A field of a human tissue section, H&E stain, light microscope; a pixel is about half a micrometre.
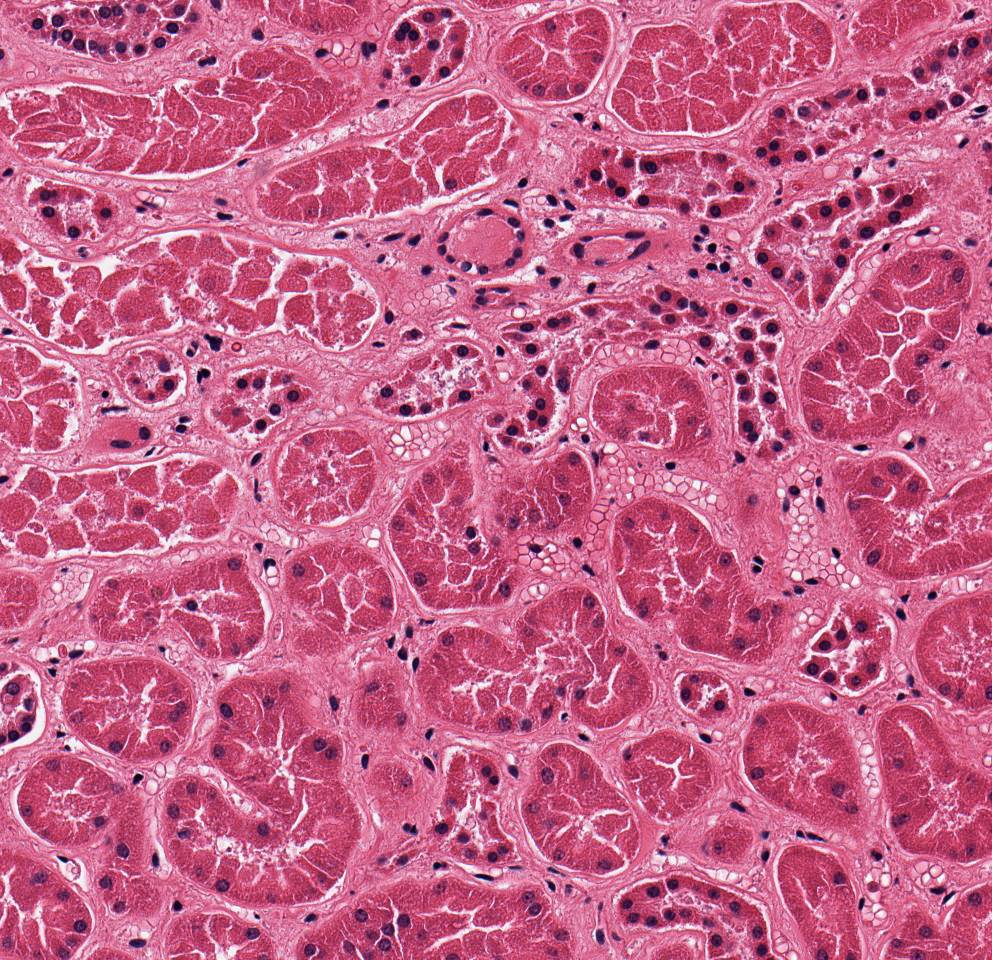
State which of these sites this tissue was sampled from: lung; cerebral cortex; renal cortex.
renal cortex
